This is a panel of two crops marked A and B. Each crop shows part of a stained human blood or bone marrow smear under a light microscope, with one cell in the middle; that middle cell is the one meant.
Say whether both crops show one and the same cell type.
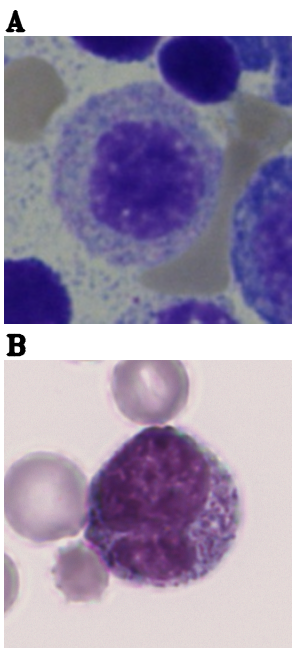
yes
